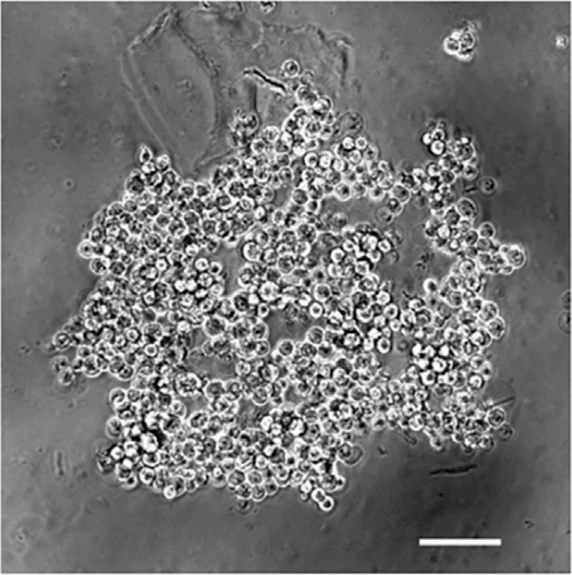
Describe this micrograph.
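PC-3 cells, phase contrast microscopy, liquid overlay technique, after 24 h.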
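A loose, irregular cluster of hundreds of small, rounded cultured cells lies on a grey background. The cells are closely packed and touch one another, piling up in places to form denser, darker groups. Each cell shows a bright, refractile rim around a granular interior. A few small clumps and single cells lie apart from the main aggregate.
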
